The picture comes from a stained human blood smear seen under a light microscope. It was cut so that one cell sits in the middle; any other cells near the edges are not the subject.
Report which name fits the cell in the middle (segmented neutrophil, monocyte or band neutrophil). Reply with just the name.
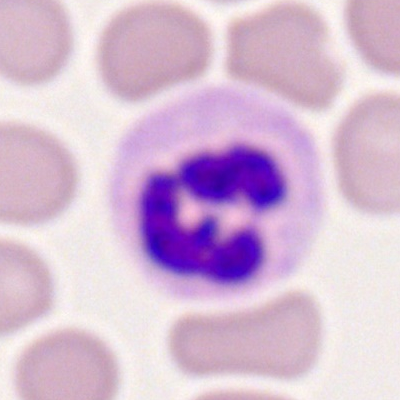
segmented neutrophil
